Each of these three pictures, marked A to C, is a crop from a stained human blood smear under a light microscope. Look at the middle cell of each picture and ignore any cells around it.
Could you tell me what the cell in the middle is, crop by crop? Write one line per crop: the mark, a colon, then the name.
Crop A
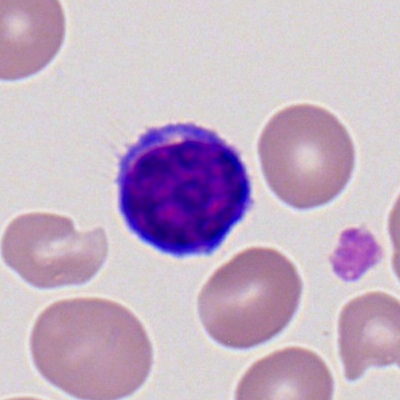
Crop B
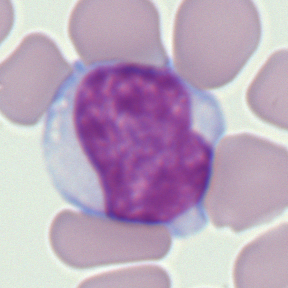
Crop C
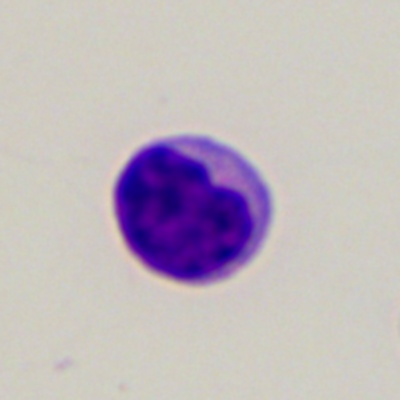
A: lymphocyte
B: blast
C: lymphocyte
